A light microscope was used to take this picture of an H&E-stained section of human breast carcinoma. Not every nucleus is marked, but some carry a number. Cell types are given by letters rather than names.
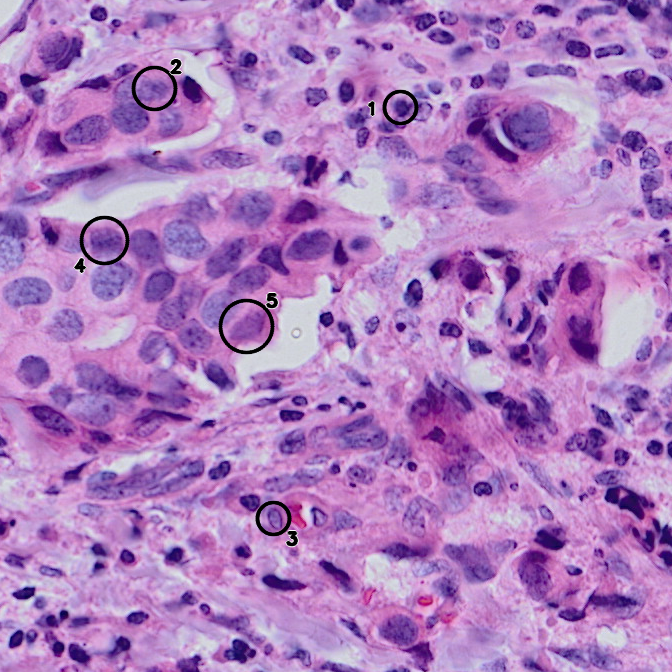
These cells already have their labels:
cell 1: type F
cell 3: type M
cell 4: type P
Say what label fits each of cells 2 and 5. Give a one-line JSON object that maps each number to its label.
{"2": "type P", "5": "type P"}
